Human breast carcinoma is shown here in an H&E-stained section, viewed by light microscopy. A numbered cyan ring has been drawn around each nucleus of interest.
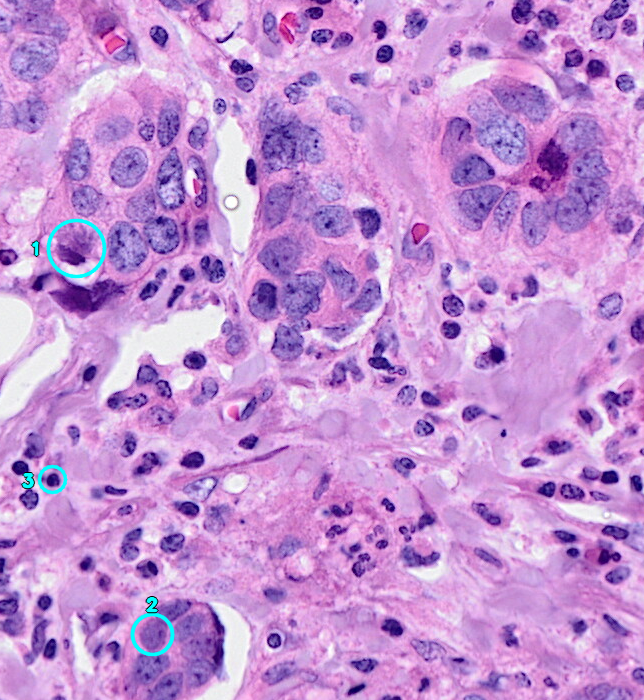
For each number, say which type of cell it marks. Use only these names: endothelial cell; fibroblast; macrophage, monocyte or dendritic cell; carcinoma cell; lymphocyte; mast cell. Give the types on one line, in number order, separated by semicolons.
carcinoma cell; carcinoma cell; lymphocyte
